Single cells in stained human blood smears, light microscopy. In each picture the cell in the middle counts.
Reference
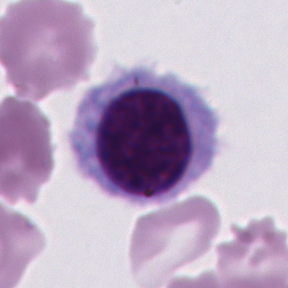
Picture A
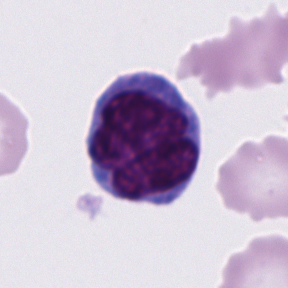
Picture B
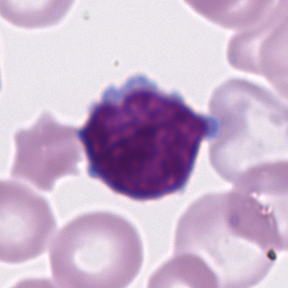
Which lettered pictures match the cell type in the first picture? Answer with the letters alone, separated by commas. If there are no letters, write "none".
none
